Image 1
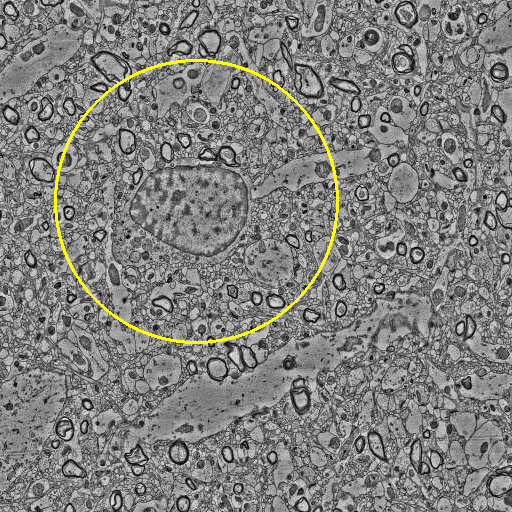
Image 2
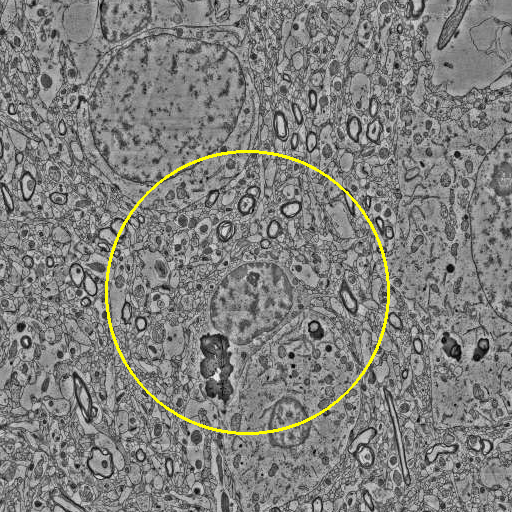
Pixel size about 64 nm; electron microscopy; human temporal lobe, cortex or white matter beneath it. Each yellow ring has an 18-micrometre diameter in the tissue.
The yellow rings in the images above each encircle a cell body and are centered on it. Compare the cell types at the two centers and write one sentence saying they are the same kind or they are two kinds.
Taken together, the two cells at the ring centers are the same kind.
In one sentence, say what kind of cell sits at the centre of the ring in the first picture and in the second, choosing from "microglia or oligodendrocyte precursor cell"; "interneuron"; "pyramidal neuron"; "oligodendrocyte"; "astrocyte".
Each of the two rings is centred on an oligodendrocyte.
